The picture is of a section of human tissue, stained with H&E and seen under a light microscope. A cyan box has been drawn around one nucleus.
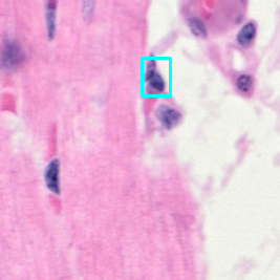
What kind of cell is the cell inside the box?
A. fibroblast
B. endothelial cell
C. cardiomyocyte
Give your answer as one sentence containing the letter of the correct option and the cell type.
In this section the cell inside the box is a fibroblast; option A is therefore correct.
